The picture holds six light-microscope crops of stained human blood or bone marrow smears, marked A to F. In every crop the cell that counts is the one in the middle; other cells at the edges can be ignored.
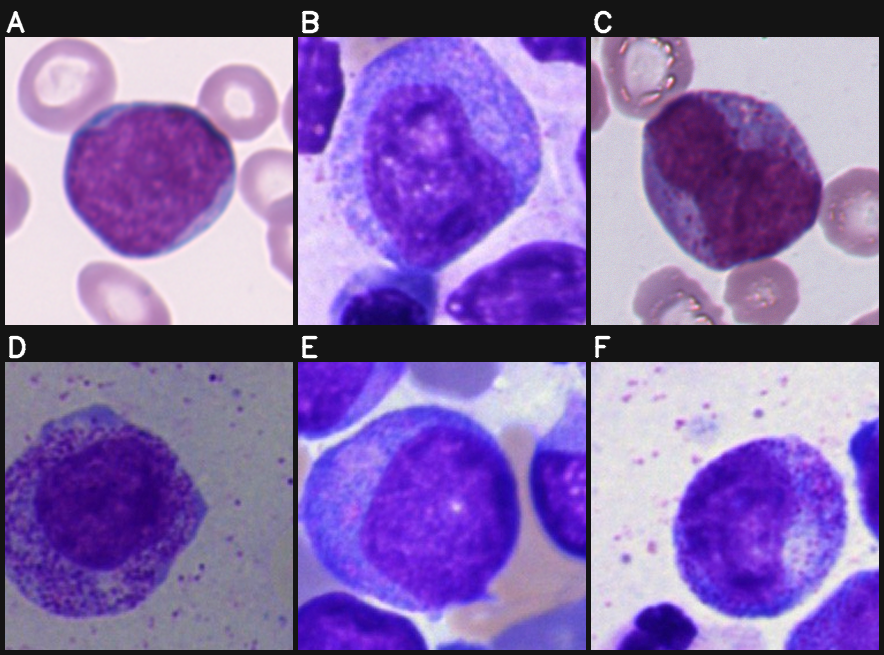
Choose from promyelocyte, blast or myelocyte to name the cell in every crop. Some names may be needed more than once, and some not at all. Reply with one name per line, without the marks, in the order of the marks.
blast
promyelocyte
promyelocyte
myelocyte
blast
promyelocyte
